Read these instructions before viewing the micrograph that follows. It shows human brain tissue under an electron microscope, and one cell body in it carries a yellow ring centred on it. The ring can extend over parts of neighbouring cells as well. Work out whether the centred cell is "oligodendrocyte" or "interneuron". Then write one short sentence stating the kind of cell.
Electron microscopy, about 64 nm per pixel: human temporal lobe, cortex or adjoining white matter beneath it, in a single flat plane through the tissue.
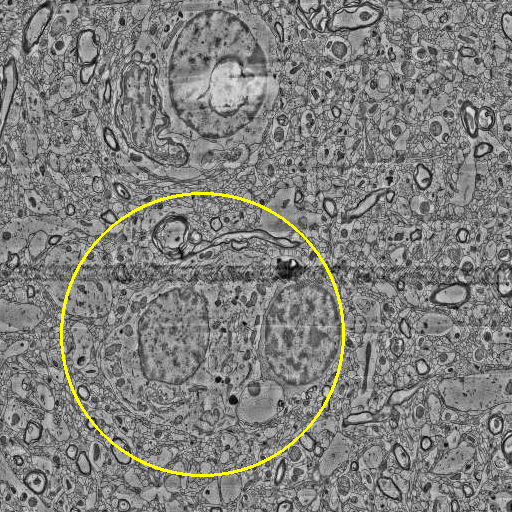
The ringed cell is an interneuron.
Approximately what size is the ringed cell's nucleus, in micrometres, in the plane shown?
The nucleus measures about 6 by 5 micrometres in this plane.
